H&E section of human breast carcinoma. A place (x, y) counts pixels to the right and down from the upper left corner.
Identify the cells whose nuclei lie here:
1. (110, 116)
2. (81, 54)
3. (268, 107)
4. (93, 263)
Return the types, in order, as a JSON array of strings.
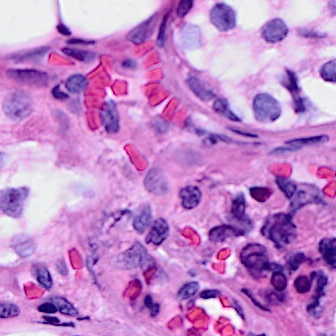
["endothelial cell", "endothelial cell", "carcinoma cell", "endothelial cell"]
